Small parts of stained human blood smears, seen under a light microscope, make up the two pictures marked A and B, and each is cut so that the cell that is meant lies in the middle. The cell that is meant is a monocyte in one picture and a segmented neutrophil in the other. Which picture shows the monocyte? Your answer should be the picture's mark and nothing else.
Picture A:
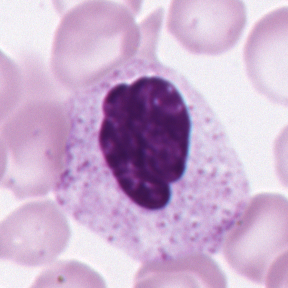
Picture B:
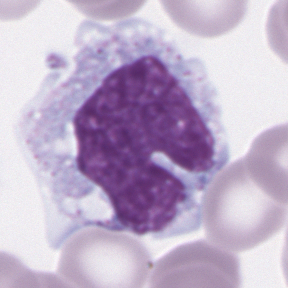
B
